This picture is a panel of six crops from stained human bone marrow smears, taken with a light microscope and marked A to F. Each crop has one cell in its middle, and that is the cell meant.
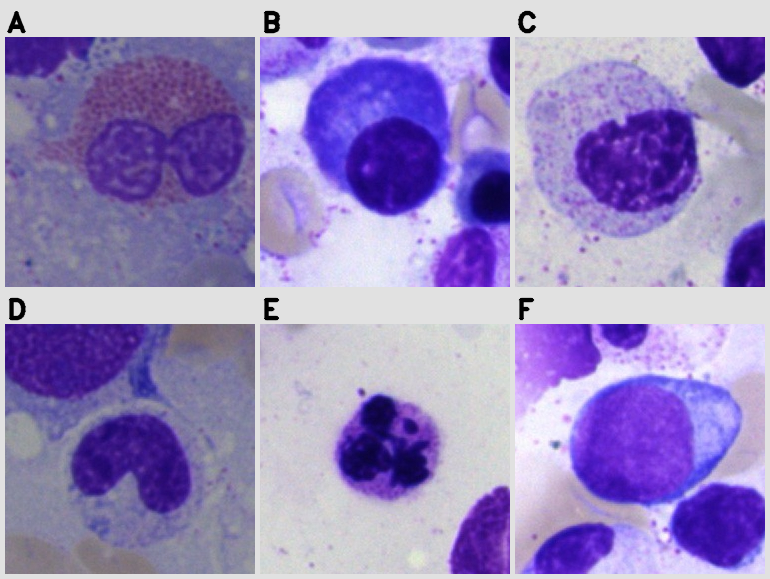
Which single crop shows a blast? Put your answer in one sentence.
Crop F is the crop that displays a blast.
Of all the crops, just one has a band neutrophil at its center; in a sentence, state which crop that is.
Only in crop D is a band neutrophil shown.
